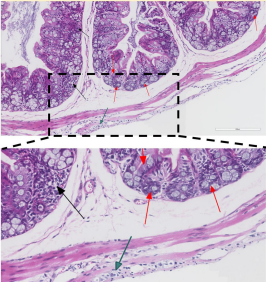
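A cross-section of intestinal wall stained pink and purple shows mucosal crypts lined by goblet-rich columnar epithelium over a thin, pale, loosely stretched submucosa and muscle layer. Within the thin muscular wall there are cells lying between the muscle layers, consistent with ganglion cells.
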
